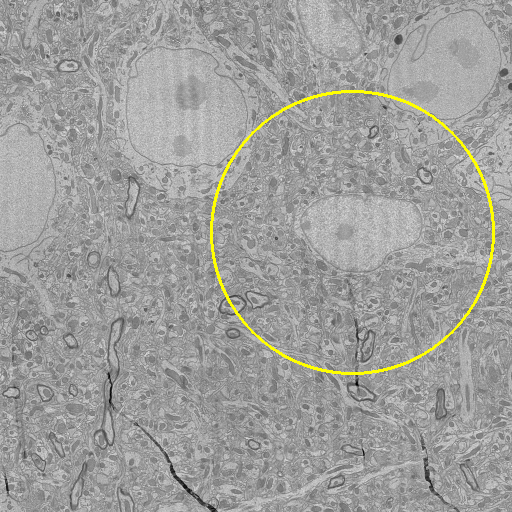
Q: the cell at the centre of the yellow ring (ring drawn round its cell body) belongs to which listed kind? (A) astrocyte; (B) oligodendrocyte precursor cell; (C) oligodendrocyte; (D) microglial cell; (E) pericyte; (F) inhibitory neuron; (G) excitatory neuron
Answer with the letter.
A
